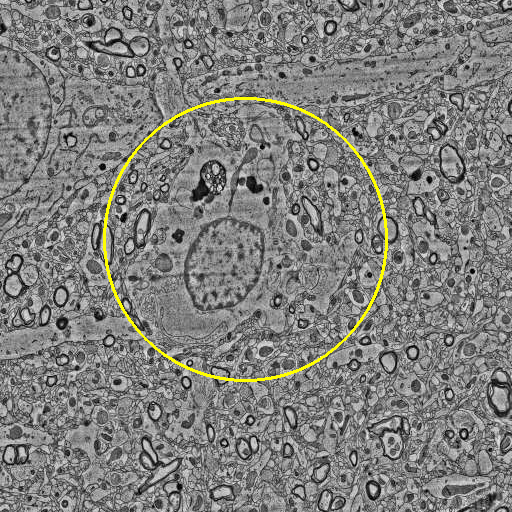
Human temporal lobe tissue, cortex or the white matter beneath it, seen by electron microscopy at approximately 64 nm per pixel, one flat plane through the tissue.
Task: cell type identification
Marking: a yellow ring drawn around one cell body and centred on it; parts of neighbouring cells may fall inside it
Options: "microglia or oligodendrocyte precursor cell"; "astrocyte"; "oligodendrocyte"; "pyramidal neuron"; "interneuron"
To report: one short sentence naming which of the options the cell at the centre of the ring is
The cell at the centre of the ring is an astrocyte.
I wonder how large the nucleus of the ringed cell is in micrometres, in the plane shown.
Roughly 6 by 5 micrometres in this plane, for the nucleus of the ringed cell.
